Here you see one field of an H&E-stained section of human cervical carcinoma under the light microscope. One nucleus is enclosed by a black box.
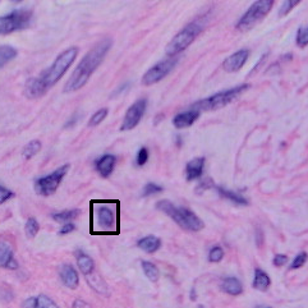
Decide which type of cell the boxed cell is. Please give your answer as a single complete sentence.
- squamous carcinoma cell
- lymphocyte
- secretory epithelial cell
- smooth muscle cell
Typologically, the boxed cell is a smooth muscle cell in this section.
